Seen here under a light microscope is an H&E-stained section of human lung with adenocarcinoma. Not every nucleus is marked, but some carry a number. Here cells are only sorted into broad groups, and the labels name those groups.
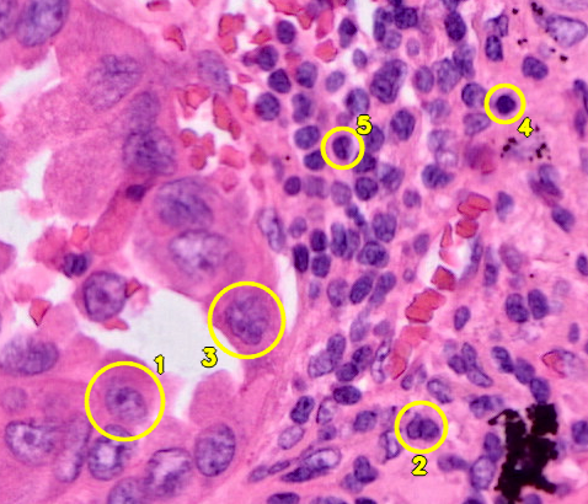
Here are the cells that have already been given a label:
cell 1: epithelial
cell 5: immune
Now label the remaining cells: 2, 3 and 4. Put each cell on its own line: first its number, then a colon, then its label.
2: immune
3: epithelial
4: immune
